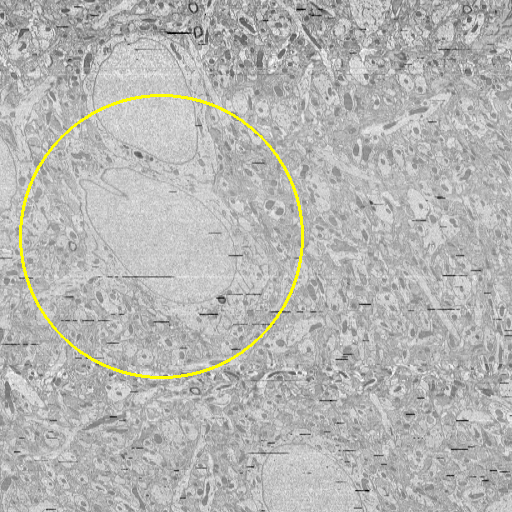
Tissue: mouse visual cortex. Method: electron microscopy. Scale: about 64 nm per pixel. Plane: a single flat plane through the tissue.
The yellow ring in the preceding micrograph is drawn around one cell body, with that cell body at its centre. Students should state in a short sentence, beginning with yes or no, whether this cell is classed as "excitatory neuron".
Yes, this cell is of that type.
